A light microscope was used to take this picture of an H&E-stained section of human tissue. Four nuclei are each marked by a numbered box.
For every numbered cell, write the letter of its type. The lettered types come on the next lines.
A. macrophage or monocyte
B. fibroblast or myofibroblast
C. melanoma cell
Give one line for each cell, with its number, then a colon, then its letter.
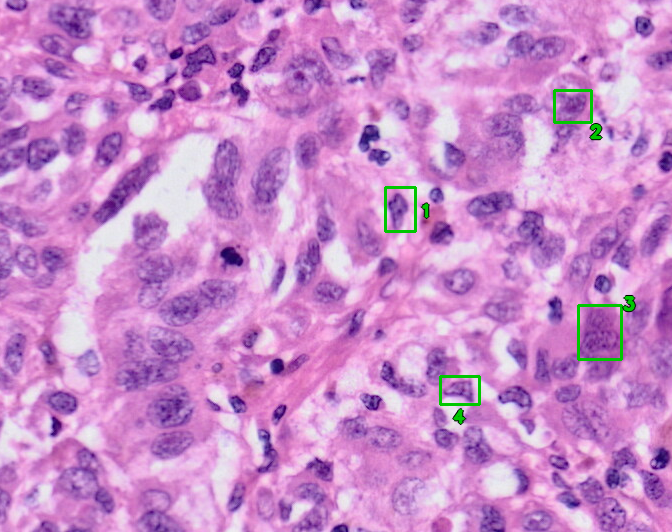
1: A
2: C
3: C
4: C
